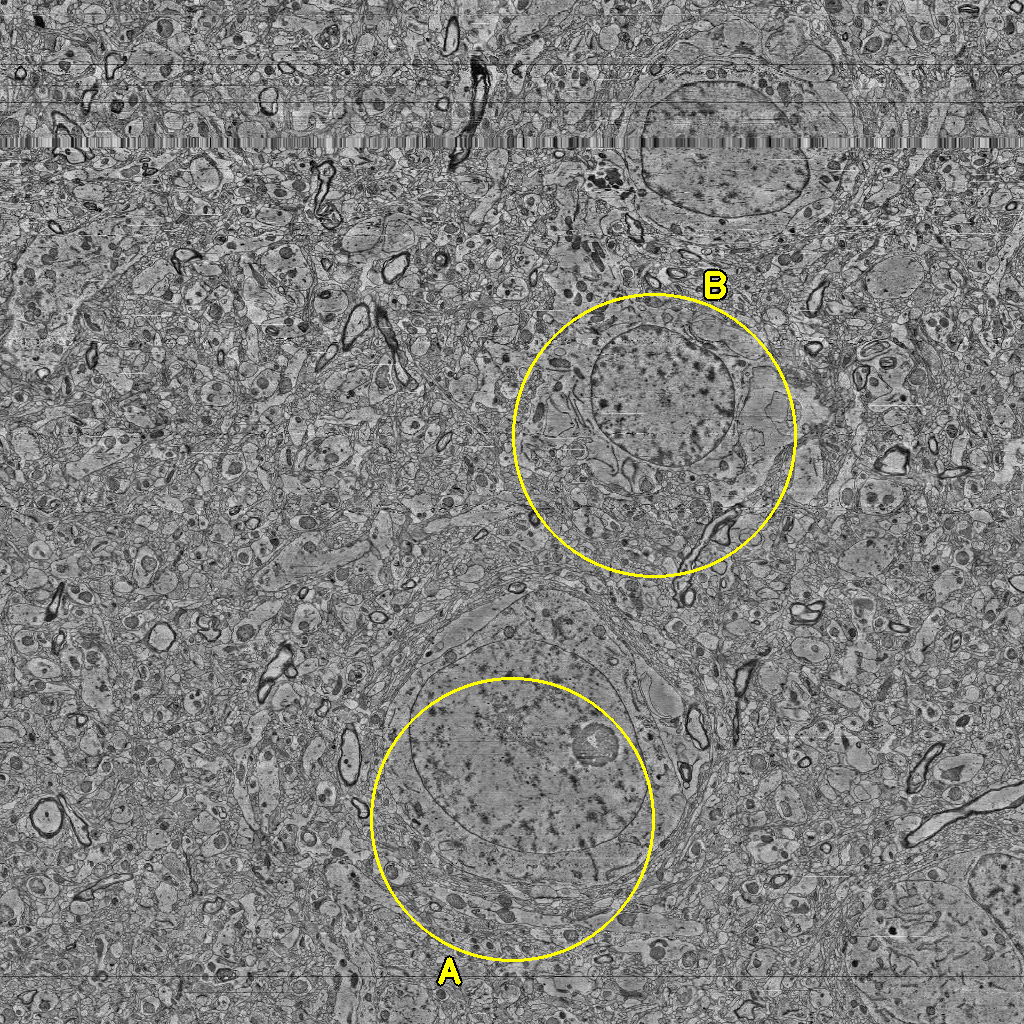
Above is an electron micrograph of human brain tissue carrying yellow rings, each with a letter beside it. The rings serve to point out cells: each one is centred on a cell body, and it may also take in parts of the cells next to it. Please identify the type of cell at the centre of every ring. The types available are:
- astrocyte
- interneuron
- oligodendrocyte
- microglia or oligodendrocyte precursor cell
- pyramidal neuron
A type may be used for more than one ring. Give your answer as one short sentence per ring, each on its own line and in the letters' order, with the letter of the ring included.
Ring A points to the cell body of a pyramidal neuron.
Ring B points to the cell body of an astrocyte.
